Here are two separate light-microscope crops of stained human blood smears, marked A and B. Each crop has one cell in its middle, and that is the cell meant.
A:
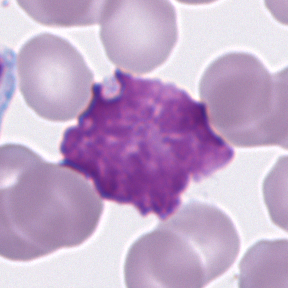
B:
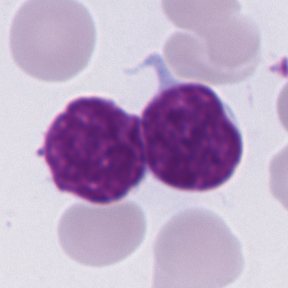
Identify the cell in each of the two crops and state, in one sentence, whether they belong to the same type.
No, crop A presents a smudge cell, whereas crop B presents a myeloblast.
